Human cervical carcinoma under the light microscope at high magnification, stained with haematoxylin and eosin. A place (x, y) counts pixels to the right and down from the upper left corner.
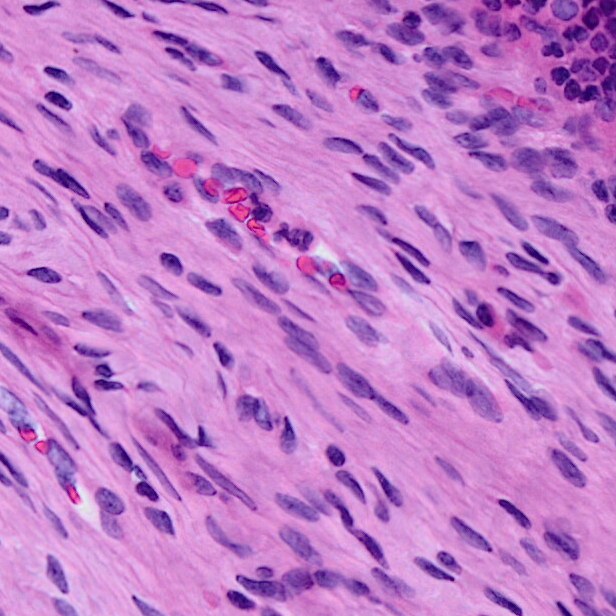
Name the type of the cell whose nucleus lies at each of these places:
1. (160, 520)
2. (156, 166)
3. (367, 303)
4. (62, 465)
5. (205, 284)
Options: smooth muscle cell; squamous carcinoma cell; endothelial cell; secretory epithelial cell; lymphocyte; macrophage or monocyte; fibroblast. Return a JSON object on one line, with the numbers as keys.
{"1": "fibroblast", "2": "endothelial cell", "3": "endothelial cell", "4": "endothelial cell", "5": "fibroblast"}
